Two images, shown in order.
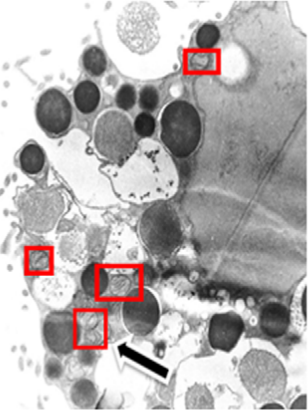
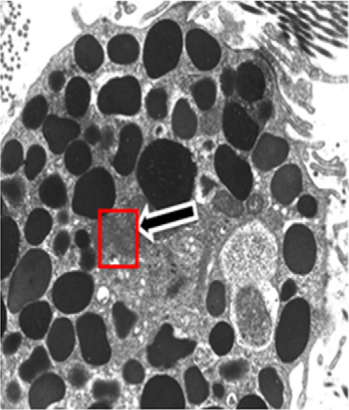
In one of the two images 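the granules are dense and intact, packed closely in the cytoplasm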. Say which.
the second image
